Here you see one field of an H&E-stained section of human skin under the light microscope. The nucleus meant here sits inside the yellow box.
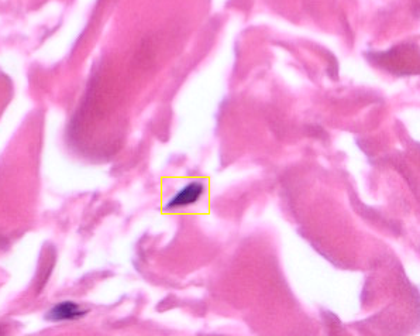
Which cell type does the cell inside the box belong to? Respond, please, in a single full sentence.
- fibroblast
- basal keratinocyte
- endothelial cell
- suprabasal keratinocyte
As to its cell type, the cell inside the box is a fibroblast.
